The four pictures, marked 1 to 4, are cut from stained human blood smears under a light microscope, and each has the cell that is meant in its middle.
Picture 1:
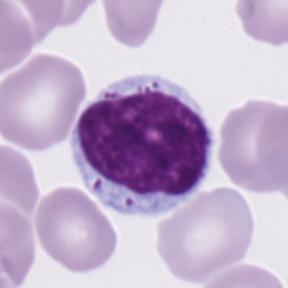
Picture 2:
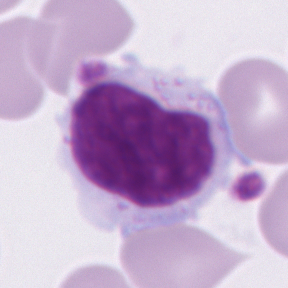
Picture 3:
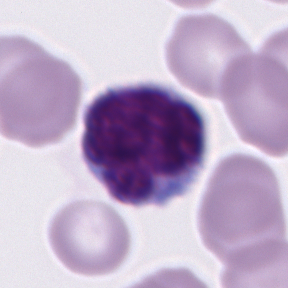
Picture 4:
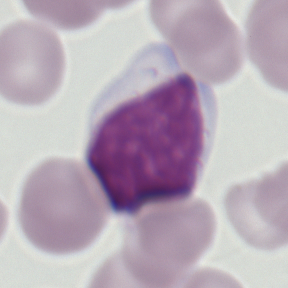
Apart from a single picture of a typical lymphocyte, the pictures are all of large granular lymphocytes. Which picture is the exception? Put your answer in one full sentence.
The typical lymphocyte is the one in picture 3.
